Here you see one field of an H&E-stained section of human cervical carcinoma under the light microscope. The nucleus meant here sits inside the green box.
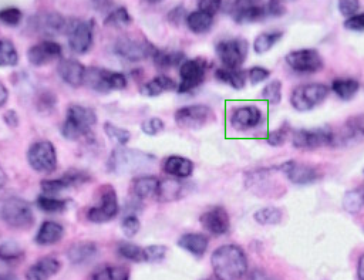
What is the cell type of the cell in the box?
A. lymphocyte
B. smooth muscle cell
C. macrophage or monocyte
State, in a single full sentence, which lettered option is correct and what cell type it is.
The correct identification, the cell in the box as a lymphocyte, is given by option A.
